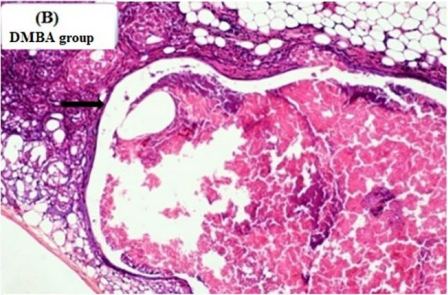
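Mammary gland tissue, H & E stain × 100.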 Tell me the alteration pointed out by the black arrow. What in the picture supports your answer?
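A large cystic space bounded by a thin wall fills most of the field. The space is filled with pink, clumped eosinophilic material. Adipocytes lie outside the wall. The answer: dilated duct containing inspissated secretions.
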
